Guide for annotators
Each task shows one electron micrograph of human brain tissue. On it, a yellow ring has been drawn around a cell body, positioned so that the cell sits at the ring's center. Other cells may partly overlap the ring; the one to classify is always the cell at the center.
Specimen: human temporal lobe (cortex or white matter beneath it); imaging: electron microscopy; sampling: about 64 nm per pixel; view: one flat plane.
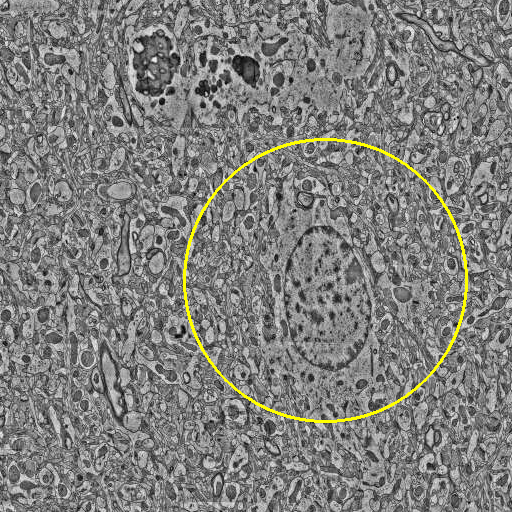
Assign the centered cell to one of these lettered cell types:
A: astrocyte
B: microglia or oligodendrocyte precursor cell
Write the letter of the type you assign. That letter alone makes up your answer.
A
